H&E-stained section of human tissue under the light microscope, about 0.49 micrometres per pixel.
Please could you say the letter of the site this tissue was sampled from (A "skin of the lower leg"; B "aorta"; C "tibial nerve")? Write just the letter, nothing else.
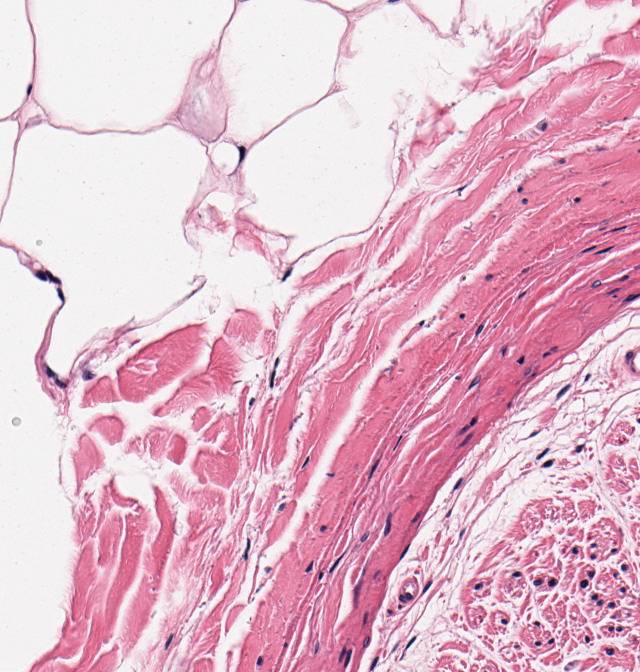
C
